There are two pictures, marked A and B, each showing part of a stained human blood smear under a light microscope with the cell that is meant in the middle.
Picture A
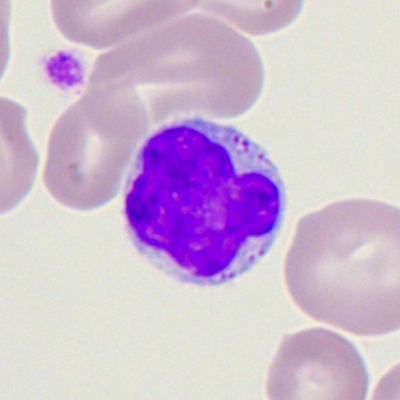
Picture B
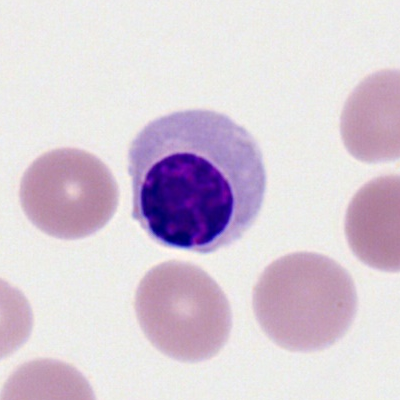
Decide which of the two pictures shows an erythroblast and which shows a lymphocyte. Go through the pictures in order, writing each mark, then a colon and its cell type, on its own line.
A: lymphocyte
B: erythroblast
